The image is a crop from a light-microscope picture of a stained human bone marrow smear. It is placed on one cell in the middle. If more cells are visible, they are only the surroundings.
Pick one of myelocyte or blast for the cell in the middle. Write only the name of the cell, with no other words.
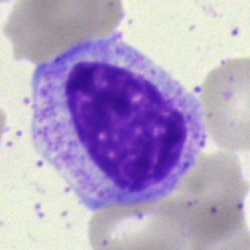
myelocyte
